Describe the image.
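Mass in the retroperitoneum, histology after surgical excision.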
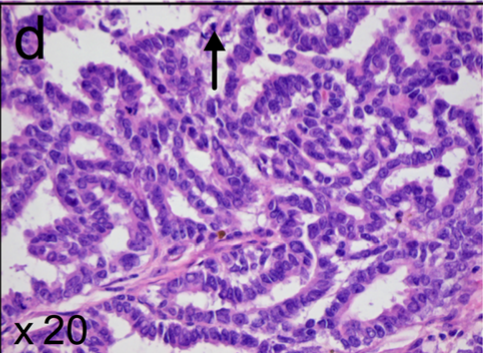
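Crowded epithelial cells with dark purple nuclei line branching, finger-like fronds and gland-like spaces that open into clear lumens. The nuclei are large, rounded to oval, and crowded so closely that they overlap, with scant pink cytoplasm between them. Thin strands of pink fibrous tissue form delicate cores beneath some of the fronds, especially toward the lower edge. Together this is a papillary carcinoma built of glandular and papillary structures with atypical cells.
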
